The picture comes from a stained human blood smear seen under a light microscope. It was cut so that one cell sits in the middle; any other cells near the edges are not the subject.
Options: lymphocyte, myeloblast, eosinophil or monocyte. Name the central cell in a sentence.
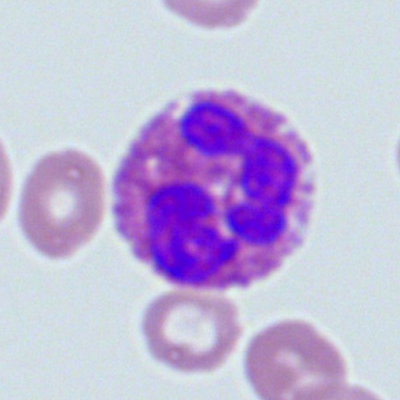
On this slide crop, the central cell is an eosinophil.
